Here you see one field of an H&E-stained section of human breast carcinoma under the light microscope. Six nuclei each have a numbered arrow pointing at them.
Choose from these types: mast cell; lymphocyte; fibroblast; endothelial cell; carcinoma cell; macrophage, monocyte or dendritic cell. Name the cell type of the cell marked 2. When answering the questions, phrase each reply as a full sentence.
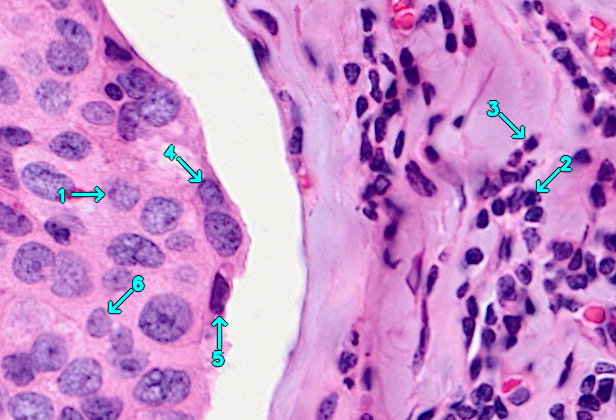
Corresponding to a lymphocyte is the cell labelled 2.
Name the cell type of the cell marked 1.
The one numbered 1 among the marked cells is a carcinoma cell.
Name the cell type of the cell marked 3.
The cell marked with number 3 is a lymphocyte.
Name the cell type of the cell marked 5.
The cell numbered 5 has been identified as a carcinoma cell.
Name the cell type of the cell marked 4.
The numbered cell 4 is identified here as a carcinoma cell.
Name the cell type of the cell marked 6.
In this section, number 6 marks a carcinoma cell.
